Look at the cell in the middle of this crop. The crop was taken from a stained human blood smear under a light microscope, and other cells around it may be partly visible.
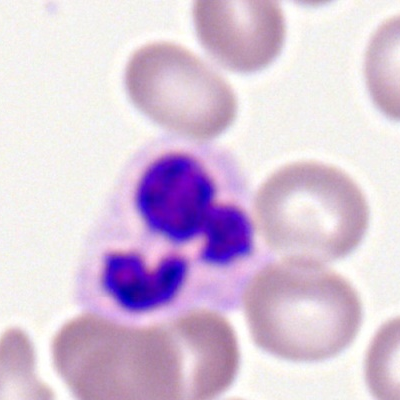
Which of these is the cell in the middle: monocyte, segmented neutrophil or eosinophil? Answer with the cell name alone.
segmented neutrophil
